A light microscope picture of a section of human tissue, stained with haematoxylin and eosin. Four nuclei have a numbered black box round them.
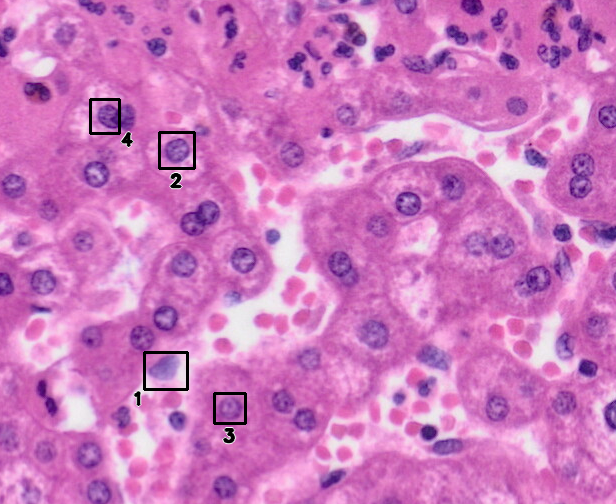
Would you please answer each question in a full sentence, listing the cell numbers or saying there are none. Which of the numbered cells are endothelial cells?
Mind that only cell 1 is an endothelial cell, none of the rest.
